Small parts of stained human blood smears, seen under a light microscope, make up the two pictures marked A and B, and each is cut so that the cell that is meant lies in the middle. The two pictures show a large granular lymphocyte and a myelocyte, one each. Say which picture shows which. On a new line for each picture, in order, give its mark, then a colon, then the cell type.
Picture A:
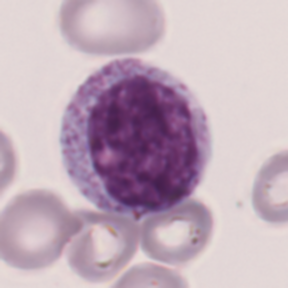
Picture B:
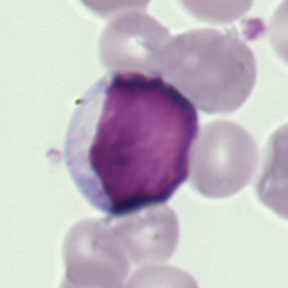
A: myelocyte
B: large granular lymphocyte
